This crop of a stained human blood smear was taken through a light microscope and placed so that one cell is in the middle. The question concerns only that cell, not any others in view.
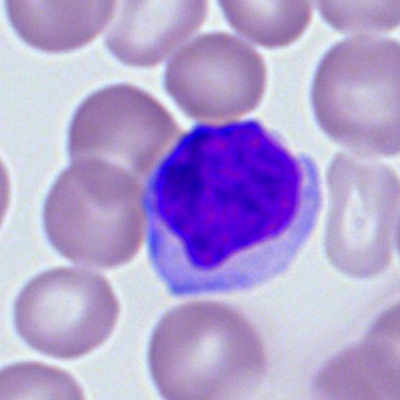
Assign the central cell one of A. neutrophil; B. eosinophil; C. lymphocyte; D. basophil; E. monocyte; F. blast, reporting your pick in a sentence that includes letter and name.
The central cell in this crop is a lymphocyte, so the correct choice is option C.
